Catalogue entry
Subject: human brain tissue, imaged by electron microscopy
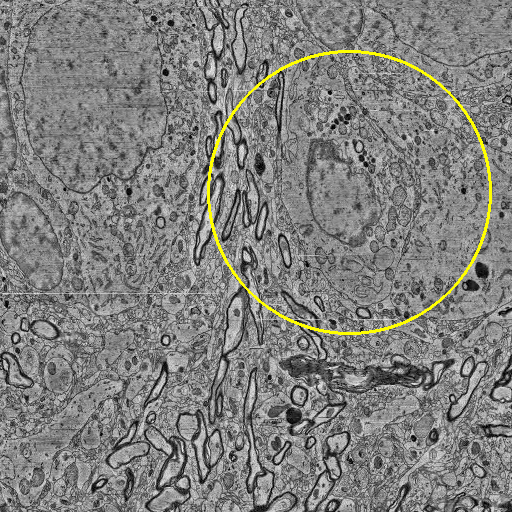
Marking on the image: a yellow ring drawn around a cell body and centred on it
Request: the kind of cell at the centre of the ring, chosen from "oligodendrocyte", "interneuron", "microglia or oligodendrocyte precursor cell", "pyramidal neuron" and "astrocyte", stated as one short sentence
The ring has an interneuron at its centre.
